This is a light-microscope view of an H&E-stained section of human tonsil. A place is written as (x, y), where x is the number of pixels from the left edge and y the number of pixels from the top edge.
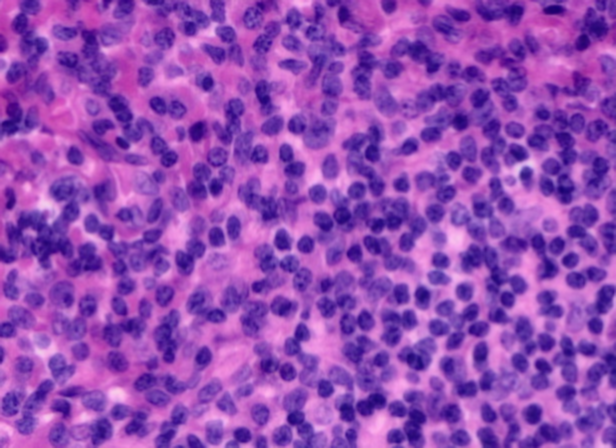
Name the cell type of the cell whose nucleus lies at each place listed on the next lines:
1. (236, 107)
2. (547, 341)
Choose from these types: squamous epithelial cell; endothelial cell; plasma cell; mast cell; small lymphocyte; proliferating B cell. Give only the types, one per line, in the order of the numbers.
plasma cell
small lymphocyte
